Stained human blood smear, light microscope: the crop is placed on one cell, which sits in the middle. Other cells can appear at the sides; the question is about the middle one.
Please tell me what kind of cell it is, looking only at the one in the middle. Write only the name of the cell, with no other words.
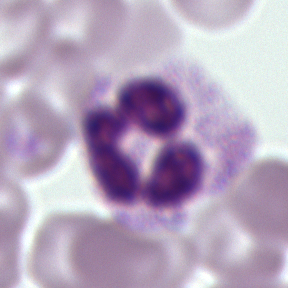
segmented neutrophil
